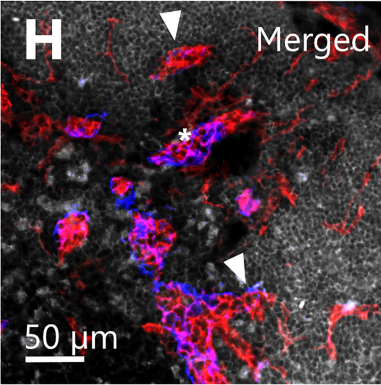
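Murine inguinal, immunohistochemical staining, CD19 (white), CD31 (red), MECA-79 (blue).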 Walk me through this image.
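This is lymph node tissue in which densely packed, evenly bright white lymphocytes form follicles to the right and top, with a darker interfollicular zone between them. In this darker zone lie several thick-walled venules whose walls are made of plump lining cells stained red, many of them also stained blue so that they appear magenta. One of these high endothelial venules runs in the gap between the two follicles, and others lie right at the follicle borders. Fine thin red capillaries branch through the surrounding tissue, including into the follicles.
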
